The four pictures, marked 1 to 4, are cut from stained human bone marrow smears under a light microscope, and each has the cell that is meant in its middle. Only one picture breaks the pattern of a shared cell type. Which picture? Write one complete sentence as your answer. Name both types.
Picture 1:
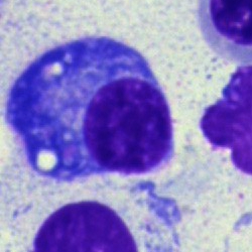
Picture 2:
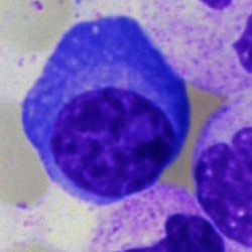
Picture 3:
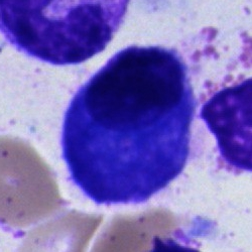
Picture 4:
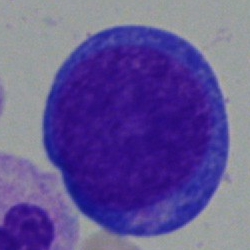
The different one is picture 4; it shows a proerythroblast, whereas all the others show plasma cells.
